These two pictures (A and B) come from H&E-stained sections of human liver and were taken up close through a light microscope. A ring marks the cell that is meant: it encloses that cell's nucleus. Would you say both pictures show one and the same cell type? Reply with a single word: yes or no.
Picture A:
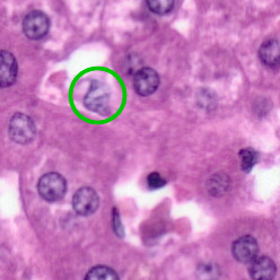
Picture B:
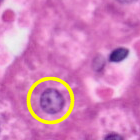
no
